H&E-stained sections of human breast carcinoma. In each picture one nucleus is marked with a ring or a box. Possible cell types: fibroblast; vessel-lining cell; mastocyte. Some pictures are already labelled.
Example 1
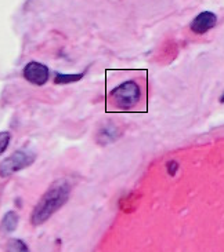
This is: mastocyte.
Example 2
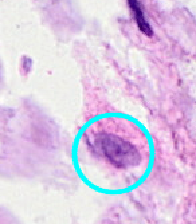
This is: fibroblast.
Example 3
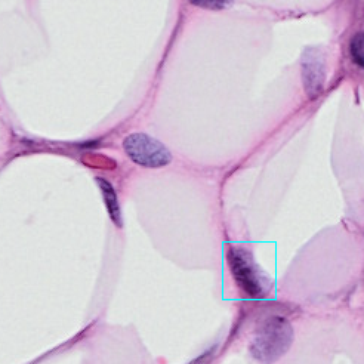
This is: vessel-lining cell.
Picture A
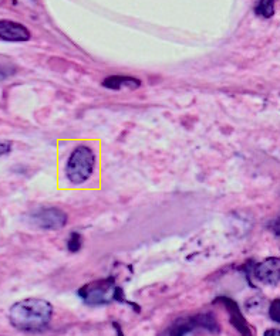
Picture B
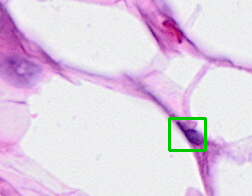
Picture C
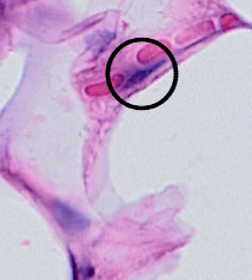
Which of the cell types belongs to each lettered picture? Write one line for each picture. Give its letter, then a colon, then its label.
A: mastocyte.
B: fibroblast.
C: vessel-lining cell.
